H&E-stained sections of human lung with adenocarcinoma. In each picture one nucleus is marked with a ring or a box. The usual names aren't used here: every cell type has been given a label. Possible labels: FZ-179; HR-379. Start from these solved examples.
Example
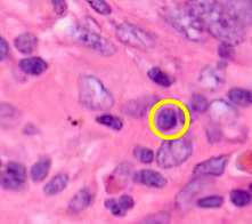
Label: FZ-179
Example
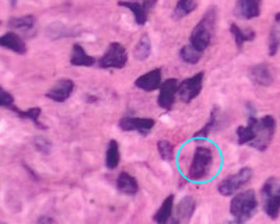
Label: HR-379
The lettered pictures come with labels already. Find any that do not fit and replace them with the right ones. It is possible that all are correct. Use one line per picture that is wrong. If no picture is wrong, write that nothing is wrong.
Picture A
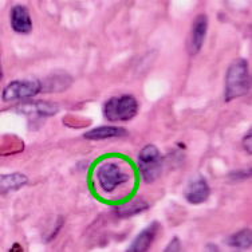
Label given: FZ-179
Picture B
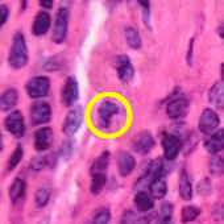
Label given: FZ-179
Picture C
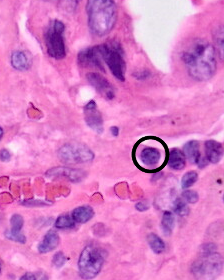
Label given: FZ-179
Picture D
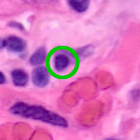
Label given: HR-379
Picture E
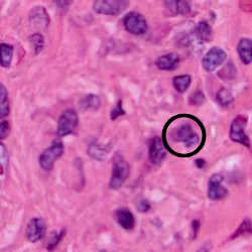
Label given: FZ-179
Wrong: D (HR-379); correct: FZ-179
Wrong: E (FZ-179); correct: HR-379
